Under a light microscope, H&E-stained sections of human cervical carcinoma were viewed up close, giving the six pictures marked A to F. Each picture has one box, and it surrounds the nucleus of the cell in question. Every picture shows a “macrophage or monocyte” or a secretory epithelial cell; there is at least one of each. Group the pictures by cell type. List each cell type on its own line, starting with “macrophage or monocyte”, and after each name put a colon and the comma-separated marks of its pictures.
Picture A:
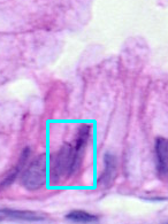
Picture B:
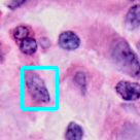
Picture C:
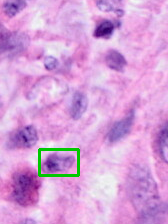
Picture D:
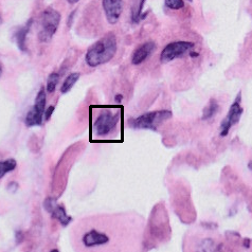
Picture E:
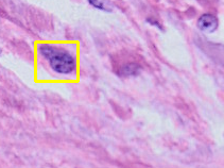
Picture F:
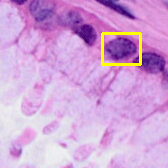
macrophage or monocyte: B, C, D, E
secretory epithelial cell: A, F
